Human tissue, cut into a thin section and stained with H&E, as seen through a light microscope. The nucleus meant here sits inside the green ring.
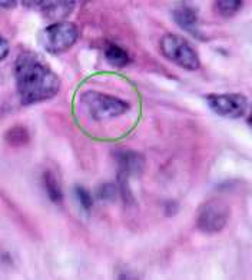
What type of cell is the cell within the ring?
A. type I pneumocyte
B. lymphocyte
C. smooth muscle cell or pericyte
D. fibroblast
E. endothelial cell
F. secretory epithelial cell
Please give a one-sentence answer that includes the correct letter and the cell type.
Under option E, the cell within the ring is an endothelial cell, which is the correct identification.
